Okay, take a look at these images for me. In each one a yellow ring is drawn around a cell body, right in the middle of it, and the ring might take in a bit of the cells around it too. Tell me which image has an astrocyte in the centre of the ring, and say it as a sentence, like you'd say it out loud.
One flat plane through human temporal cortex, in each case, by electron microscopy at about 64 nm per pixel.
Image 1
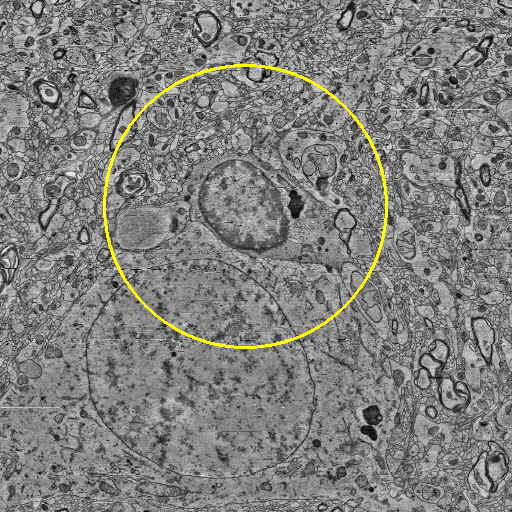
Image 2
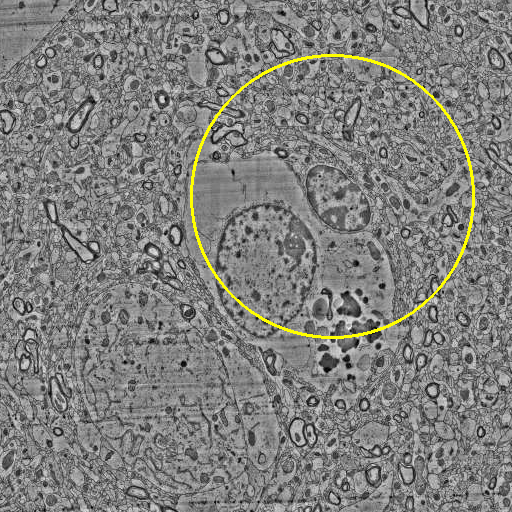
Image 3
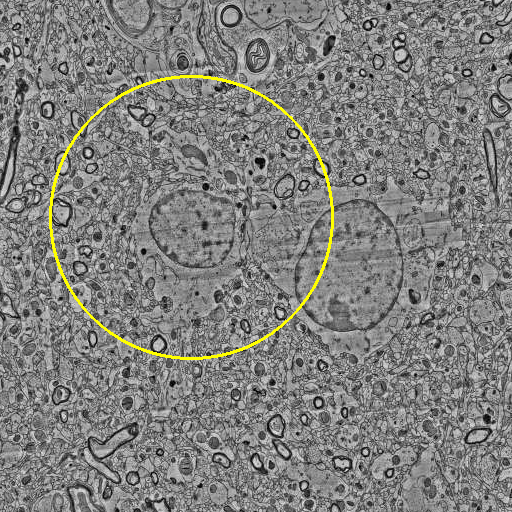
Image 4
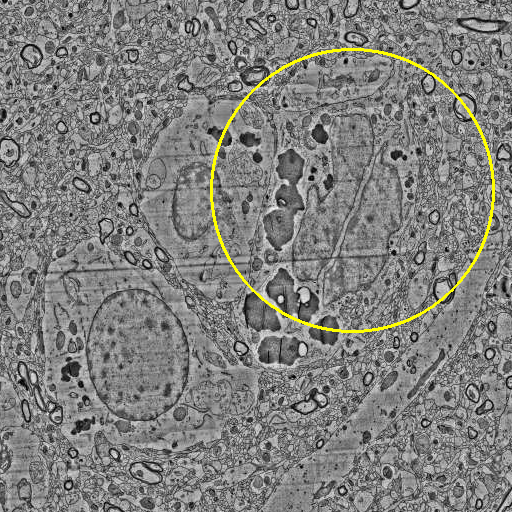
Image 3 is the one with it in the centre of the ring.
